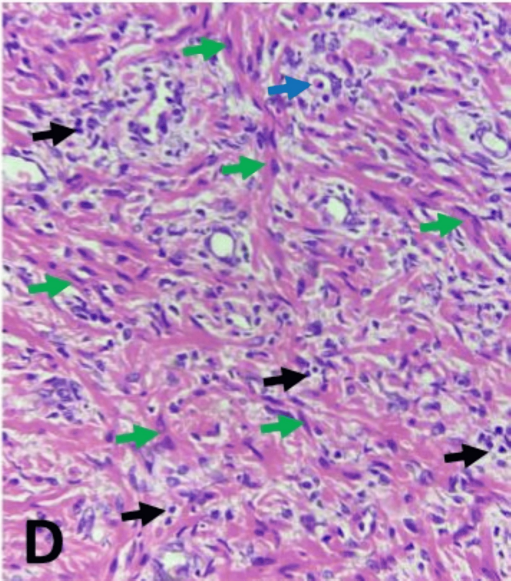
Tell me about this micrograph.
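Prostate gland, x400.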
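This high-power field shows short, interlacing fascicles of spindle cells with pink, tapering fusiform cytoplasm and slender oval, bland nuclei. Between them lie many small round cells with dark round nuclei, consistent with lymphocytes and plasma cells, together with occasional other inflammatory cells and pink collagenous stroma.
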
